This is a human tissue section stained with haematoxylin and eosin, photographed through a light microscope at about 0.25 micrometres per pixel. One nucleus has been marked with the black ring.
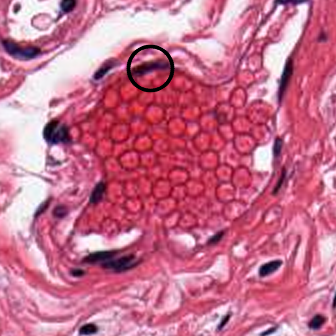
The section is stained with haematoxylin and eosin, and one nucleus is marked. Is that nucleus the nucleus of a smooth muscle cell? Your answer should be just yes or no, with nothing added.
no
